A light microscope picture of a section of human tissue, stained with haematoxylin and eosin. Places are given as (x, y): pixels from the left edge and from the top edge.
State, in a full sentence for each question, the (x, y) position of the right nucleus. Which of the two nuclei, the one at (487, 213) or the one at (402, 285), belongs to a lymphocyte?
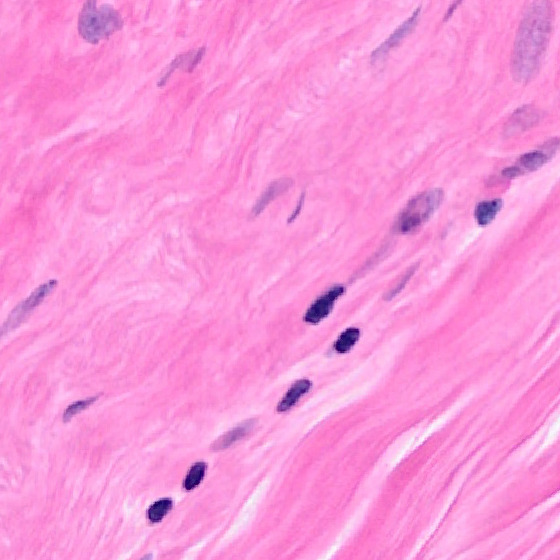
The nucleus contained in a lymphocyte is the one at (487, 213).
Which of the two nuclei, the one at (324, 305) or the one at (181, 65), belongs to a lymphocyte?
Of the two nuclei present, the one at (324, 305) is within a lymphocyte.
